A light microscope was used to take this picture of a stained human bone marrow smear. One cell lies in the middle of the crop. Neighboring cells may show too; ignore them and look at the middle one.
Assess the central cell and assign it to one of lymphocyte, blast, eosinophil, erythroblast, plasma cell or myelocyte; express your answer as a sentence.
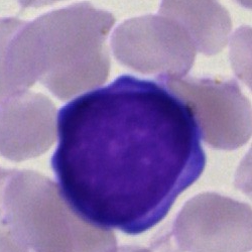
Standing at the centre of this crop is a blast.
